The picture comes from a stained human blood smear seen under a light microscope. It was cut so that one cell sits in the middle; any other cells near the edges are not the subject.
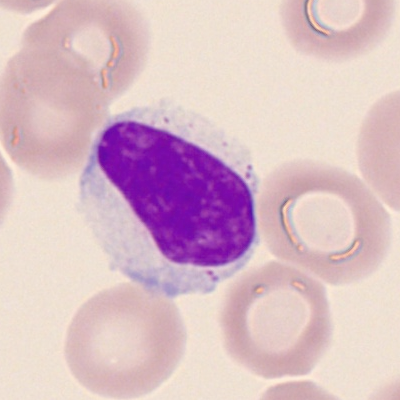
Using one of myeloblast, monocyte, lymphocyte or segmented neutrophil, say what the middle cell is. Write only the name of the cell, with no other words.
lymphocyte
